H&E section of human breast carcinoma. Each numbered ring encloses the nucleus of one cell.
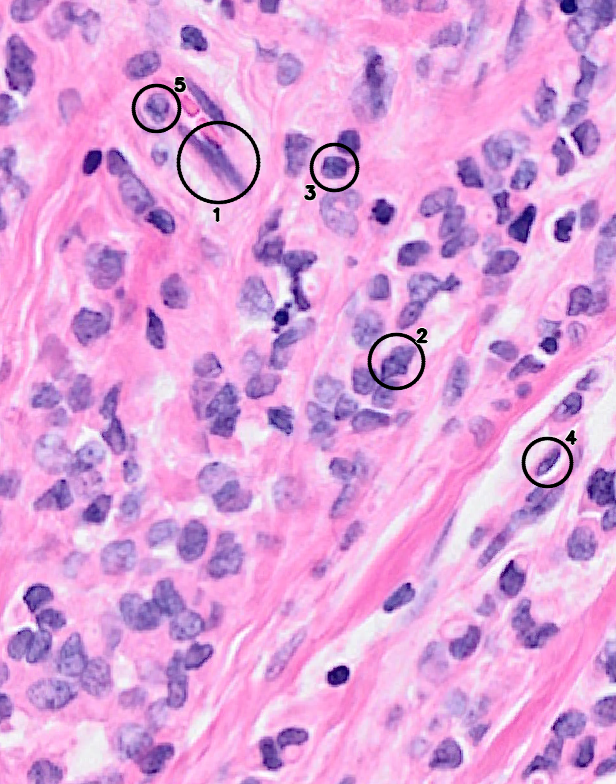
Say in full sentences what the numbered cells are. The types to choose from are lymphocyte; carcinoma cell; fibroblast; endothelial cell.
Cell 1 is an endothelial cell, cell 2 is a carcinoma cell, cell 3 is a lymphocyte, cell 4 is an endothelial cell and cell 5 is an endothelial cell.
